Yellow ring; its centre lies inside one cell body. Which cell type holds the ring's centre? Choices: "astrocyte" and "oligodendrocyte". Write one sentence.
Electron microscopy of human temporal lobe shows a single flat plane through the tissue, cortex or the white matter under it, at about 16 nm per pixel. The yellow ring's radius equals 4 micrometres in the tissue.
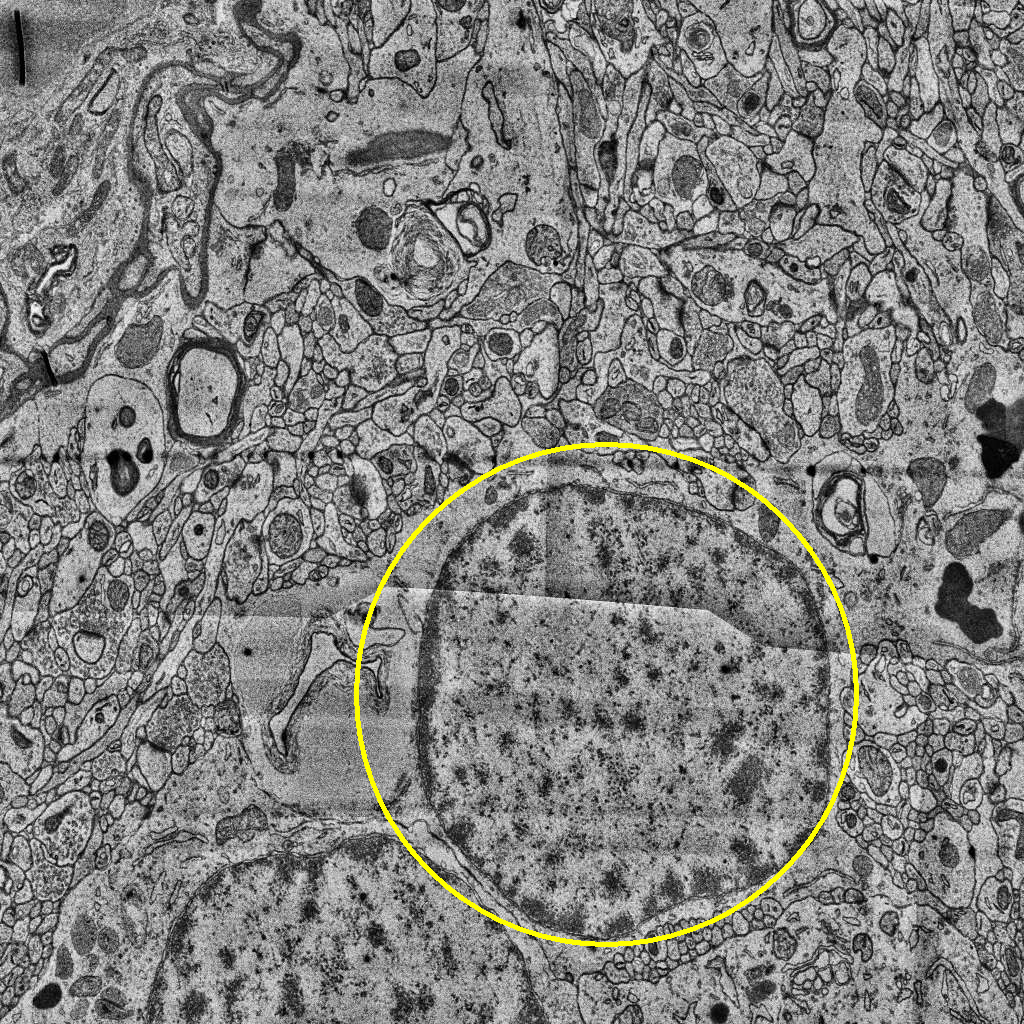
At the centre of the ring sits an astrocyte.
